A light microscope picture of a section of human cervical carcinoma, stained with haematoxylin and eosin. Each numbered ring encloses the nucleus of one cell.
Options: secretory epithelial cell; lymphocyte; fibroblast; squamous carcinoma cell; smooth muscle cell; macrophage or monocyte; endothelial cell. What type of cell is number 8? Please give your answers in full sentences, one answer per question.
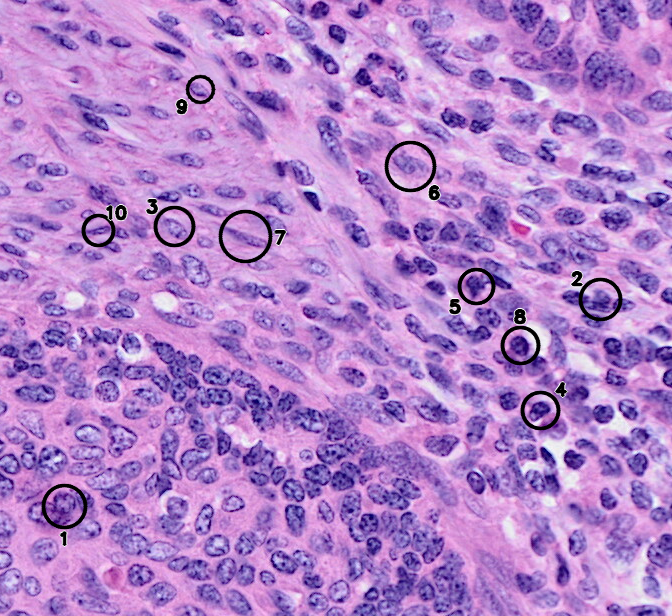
The cell pointed out by number 8 is a lymphocyte.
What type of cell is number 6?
Cell 6, among those numbered, is an endothelial cell.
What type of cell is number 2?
The cell marked with the number 2 is a lymphocyte.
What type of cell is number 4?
To a lymphocyte belongs the nucleus marked 4.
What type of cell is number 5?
Among the marked cells, number 5 is a lymphocyte.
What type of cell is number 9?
The expected answer is that cell 9 is a smooth muscle cell.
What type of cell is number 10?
Heads up, the cell numbered 10 is a smooth muscle cell.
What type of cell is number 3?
In this section, the cell tagged 3 is a smooth muscle cell.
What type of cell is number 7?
The cell numbered 7 has been identified as a smooth muscle cell.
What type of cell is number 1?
Recognised here as a squamous carcinoma cell is the cell numbered 1.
